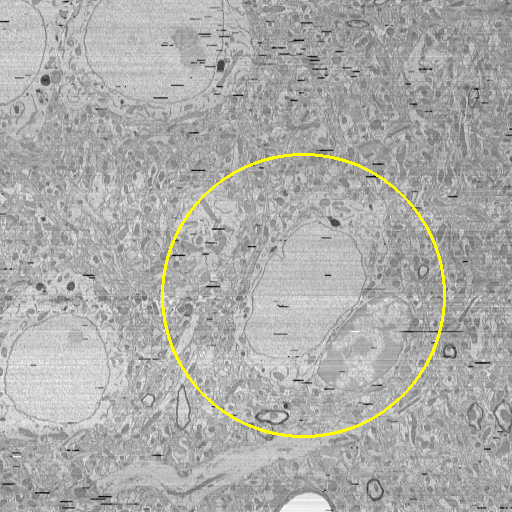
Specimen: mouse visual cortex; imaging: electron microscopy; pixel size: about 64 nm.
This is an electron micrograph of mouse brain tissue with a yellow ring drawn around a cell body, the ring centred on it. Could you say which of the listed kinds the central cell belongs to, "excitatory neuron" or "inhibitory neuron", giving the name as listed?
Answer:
excitatory neuron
